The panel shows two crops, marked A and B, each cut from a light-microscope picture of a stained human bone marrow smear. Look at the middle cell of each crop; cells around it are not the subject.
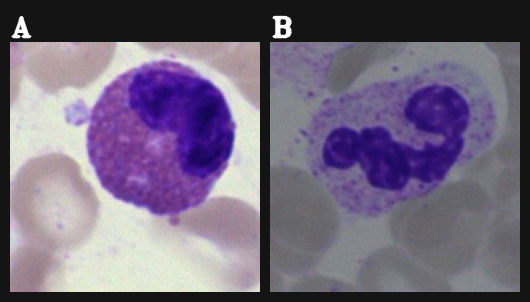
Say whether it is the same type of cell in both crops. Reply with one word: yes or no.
no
